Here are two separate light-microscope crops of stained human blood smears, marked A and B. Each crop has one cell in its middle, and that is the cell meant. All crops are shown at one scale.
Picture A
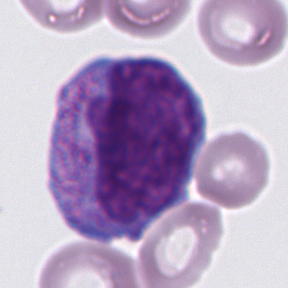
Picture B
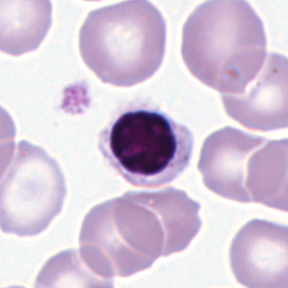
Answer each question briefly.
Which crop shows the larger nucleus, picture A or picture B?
A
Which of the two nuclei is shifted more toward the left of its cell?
B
